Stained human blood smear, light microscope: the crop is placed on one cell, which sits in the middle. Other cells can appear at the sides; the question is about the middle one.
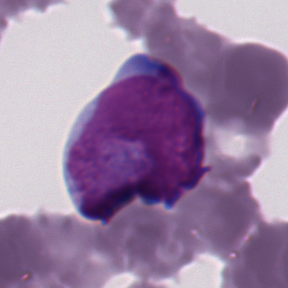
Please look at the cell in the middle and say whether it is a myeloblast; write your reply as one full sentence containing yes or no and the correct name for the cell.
Yes, the cell at the middle is a myeloblast.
